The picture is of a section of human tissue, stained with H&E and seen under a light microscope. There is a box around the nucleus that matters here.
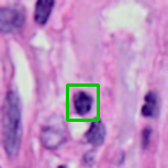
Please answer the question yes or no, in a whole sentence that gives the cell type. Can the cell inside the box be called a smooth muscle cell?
No, in this section the cell inside the box is a lymphocyte and not a smooth muscle cell.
